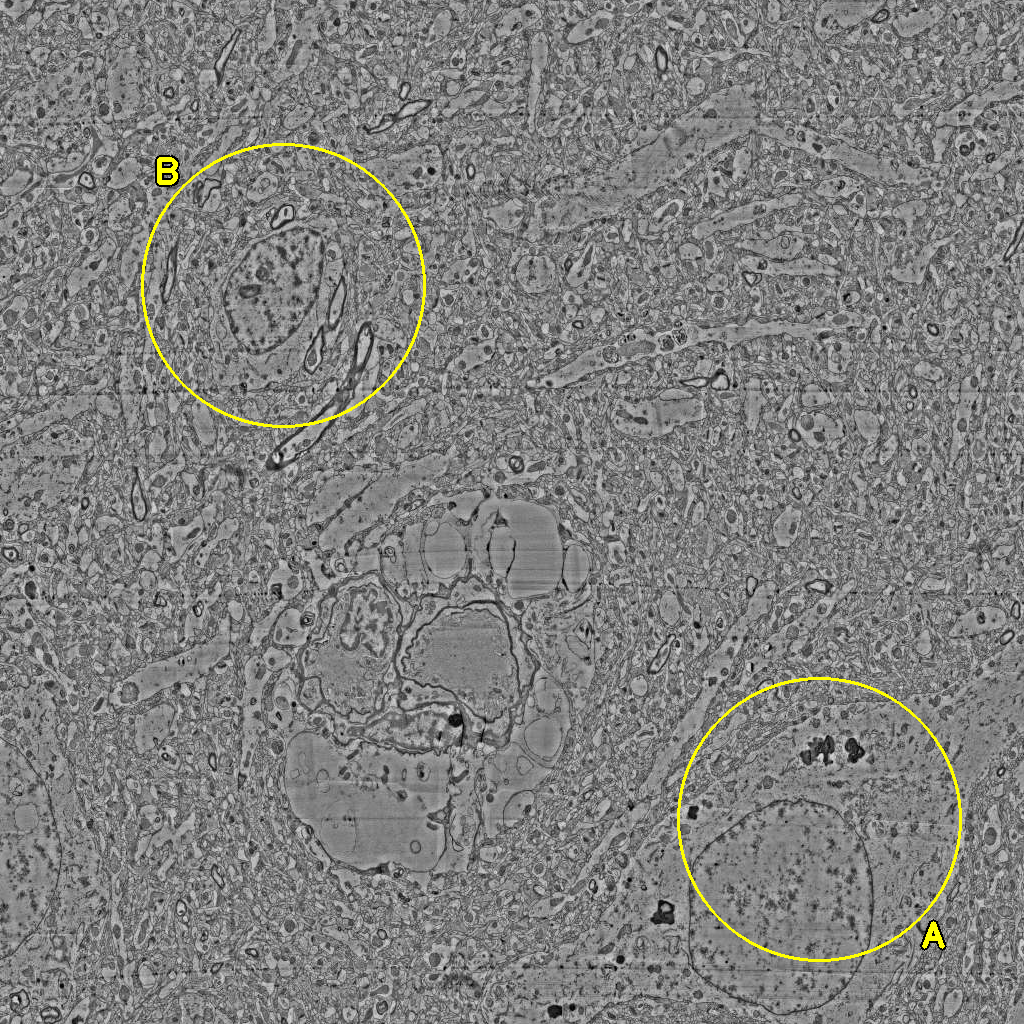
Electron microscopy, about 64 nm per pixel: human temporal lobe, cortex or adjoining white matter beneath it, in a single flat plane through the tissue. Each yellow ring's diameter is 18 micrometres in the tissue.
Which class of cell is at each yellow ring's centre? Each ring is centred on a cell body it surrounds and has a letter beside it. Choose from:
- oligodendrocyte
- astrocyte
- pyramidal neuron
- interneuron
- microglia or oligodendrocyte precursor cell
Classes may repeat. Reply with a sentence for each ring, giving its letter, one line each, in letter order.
The ring lettered A is centred on a pyramidal neuron.
The ring lettered B is centred on a microglial cell or oligodendrocyte precursor cell.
